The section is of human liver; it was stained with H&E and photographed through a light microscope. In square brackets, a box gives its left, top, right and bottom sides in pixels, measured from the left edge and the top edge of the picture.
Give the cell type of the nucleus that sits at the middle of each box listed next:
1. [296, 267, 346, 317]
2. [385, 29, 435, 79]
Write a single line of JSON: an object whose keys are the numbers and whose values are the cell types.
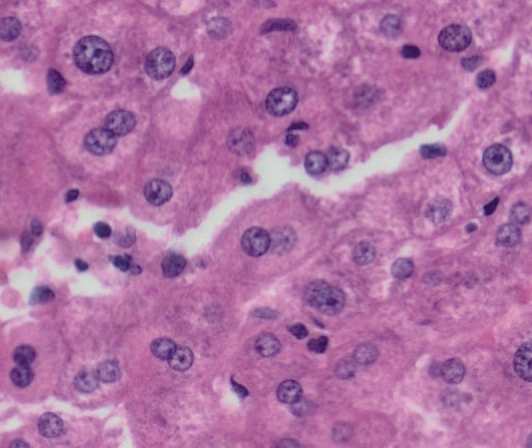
{"1": "hepatocyte", "2": "lymphocyte"}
